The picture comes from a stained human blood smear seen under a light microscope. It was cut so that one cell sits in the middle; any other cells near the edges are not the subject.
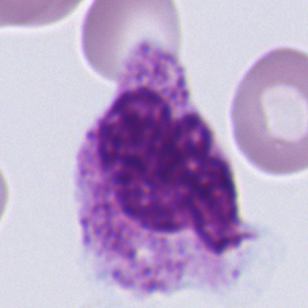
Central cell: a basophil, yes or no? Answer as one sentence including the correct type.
No, wrong label: the middle cell is a segmented neutrophil instead of a basophil.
